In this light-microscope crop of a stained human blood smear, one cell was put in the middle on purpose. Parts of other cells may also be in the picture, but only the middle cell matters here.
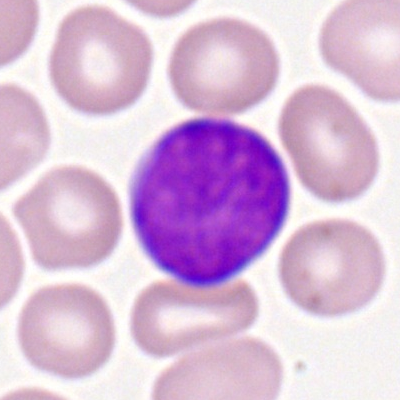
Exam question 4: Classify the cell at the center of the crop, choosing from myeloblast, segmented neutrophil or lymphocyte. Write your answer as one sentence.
The middle position in this crop is taken by a myeloblast.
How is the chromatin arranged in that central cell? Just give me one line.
The chromatin within its nucleus forms coarse clumps.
